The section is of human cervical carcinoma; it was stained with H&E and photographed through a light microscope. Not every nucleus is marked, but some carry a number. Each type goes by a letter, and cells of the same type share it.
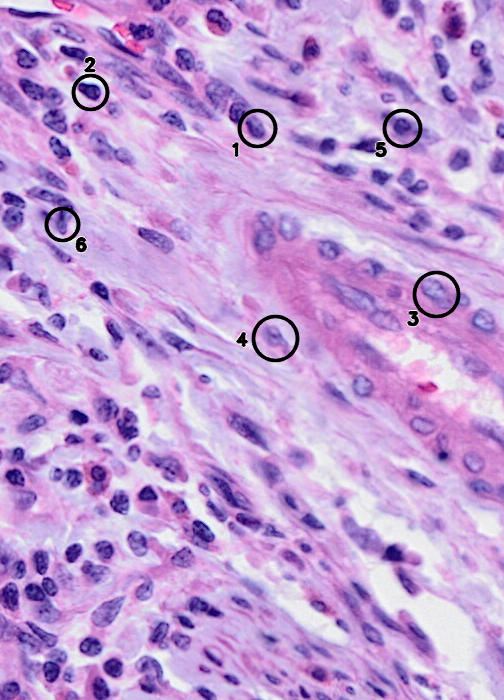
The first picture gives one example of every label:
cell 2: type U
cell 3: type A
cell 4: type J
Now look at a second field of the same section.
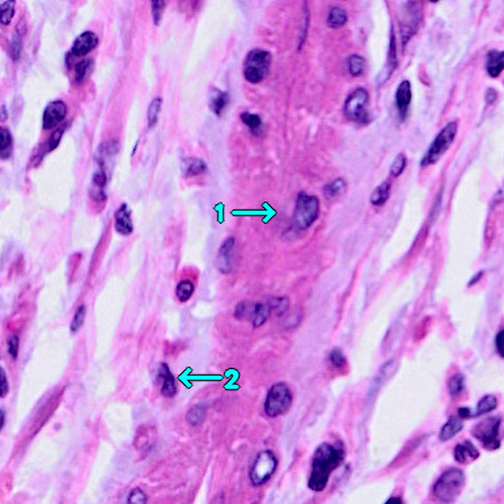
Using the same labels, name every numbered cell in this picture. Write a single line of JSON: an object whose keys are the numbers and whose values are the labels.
{"1": "type A", "2": "type J"}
